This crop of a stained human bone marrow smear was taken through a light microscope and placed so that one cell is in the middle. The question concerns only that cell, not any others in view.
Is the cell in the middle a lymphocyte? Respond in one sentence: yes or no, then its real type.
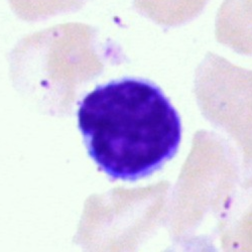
Yes, placed in the middle of the crop is a lymphocyte.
